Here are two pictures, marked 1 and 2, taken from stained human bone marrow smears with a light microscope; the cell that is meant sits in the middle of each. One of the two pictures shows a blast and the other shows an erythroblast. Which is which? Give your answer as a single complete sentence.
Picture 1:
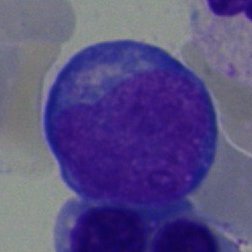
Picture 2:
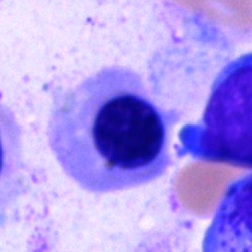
Picture 2 shows an erythroblast, while picture 1 shows a blast.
